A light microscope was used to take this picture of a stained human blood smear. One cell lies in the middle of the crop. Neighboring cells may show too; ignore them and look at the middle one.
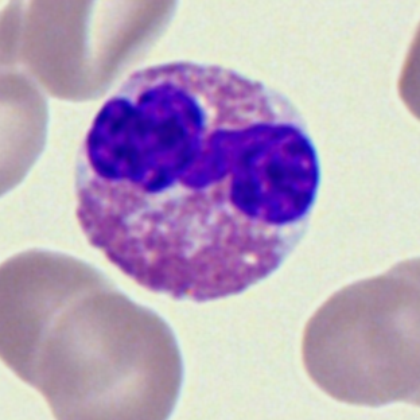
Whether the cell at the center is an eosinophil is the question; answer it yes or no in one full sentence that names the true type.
Yes, the cell located at the center is an eosinophil.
